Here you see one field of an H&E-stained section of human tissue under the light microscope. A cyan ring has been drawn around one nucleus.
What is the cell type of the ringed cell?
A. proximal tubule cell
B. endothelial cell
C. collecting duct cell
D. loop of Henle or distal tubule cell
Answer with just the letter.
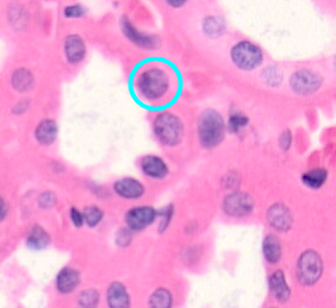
D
